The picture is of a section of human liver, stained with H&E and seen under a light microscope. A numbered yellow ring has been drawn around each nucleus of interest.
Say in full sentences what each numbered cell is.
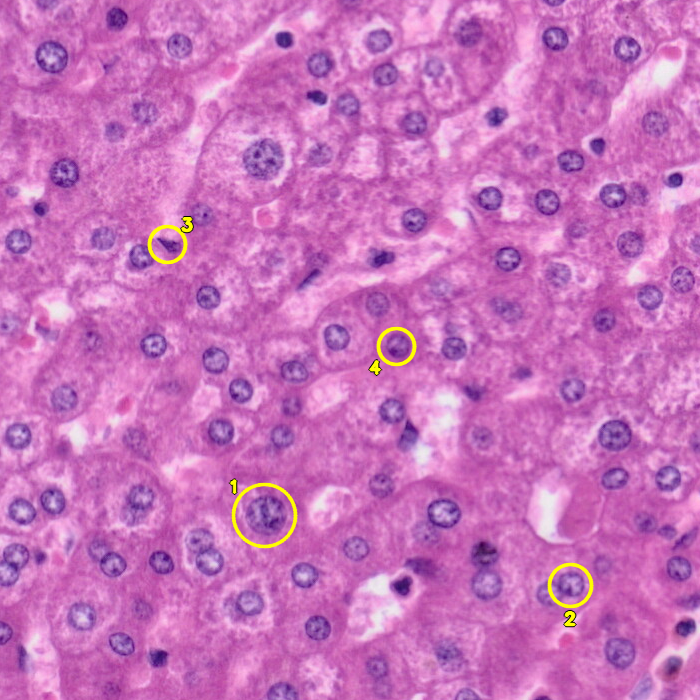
Cell 1 is a hepatocyte, cell 2 is a hepatocyte, cell 3 is an endothelial cell and cell 4 is a hepatocyte.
